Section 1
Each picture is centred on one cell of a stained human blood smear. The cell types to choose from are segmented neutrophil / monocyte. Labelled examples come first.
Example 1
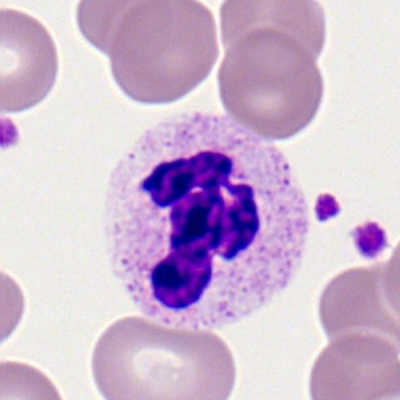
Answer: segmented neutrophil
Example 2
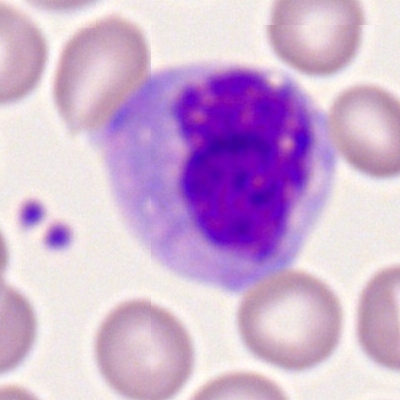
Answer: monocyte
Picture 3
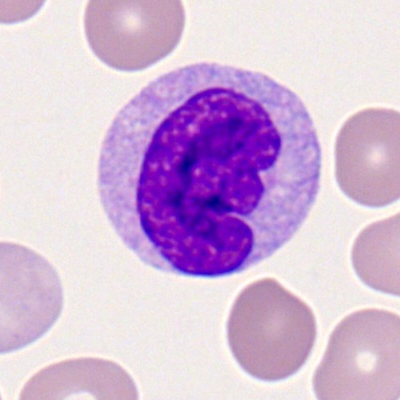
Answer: monocyte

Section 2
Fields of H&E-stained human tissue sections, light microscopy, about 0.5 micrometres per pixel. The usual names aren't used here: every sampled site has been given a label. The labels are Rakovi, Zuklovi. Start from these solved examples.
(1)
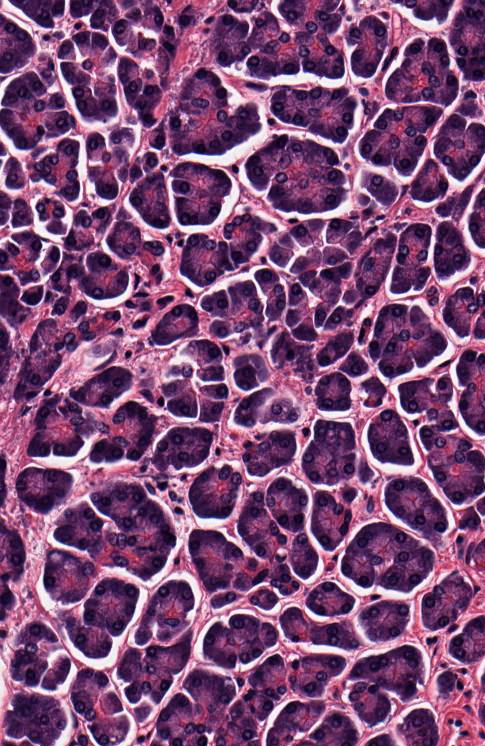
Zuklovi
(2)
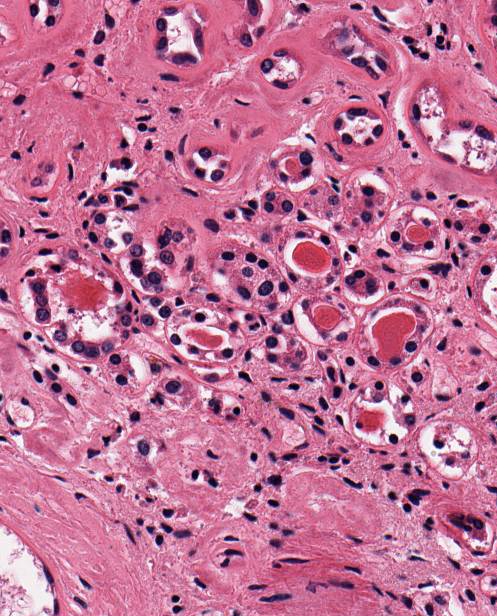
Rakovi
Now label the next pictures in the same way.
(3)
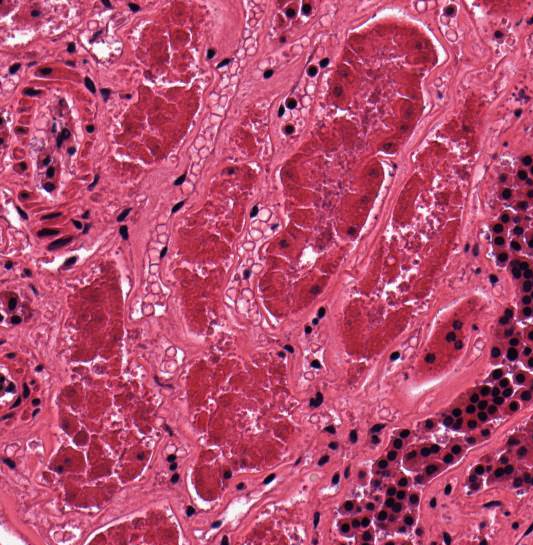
Rakovi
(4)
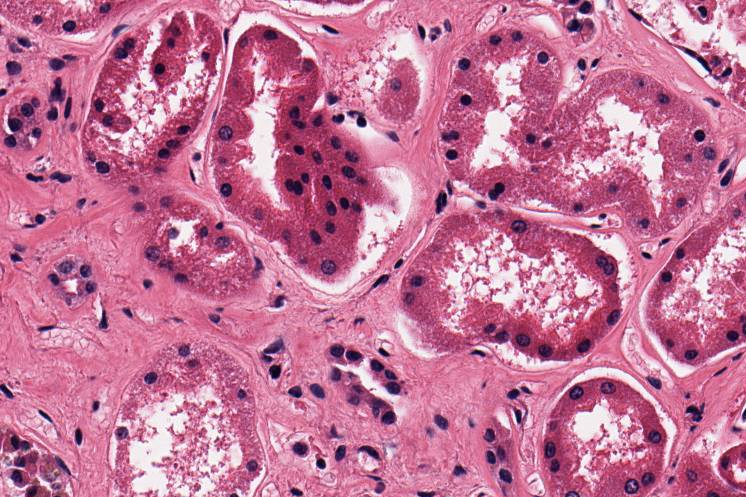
Rakovi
